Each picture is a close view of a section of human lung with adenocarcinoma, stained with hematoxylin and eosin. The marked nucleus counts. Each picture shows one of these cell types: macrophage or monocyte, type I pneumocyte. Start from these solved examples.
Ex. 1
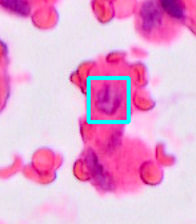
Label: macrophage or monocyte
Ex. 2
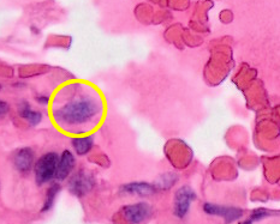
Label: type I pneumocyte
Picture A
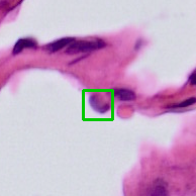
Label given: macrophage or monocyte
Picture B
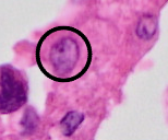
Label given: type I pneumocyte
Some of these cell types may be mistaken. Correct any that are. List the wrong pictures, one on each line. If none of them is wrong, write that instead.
A: type I pneumocyte, not macrophage or monocyte
B: macrophage or monocyte, not type I pneumocyte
